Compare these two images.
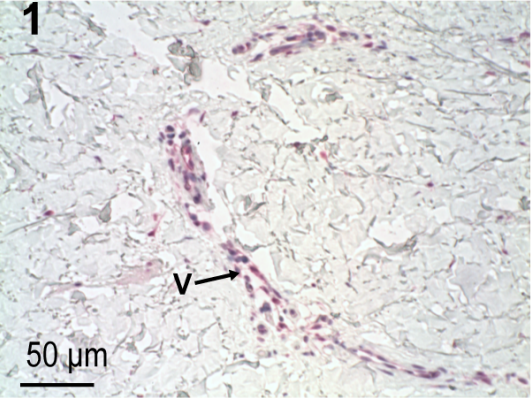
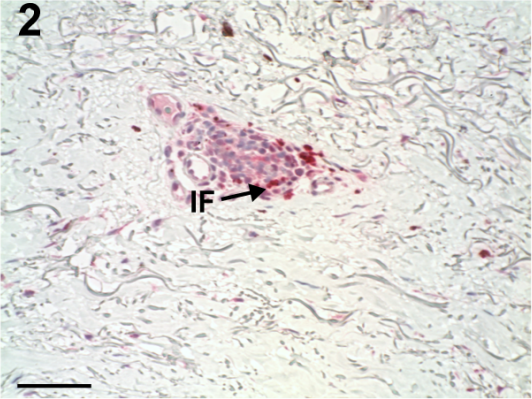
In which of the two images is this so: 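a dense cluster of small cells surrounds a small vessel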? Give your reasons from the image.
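First image: vessels are lined by elongated cells with no dense cell cluster around them. That points to this answer: the second image.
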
